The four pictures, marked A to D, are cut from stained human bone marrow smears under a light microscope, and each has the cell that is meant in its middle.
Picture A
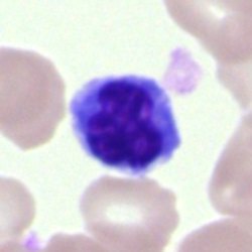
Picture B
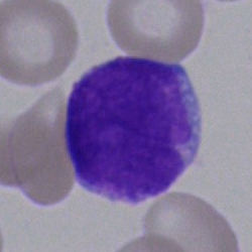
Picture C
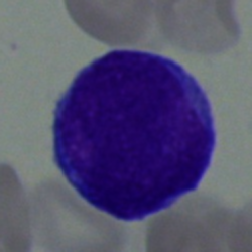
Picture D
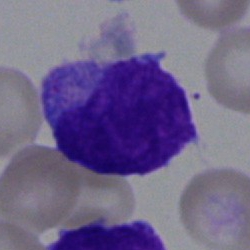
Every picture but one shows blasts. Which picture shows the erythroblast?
A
